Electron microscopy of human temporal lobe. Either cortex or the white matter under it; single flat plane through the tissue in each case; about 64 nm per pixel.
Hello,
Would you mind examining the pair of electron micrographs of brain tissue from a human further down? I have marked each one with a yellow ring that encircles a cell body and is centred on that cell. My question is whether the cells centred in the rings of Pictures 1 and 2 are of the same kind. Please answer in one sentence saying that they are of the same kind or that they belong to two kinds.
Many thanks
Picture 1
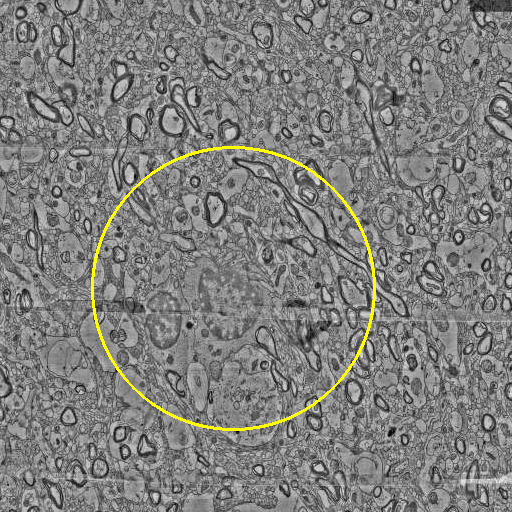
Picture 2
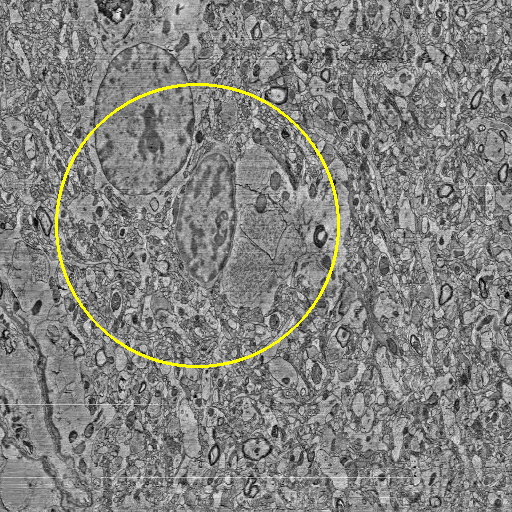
In Pictures 1 and 2, the cells at the heart of the rings are of the same kind.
